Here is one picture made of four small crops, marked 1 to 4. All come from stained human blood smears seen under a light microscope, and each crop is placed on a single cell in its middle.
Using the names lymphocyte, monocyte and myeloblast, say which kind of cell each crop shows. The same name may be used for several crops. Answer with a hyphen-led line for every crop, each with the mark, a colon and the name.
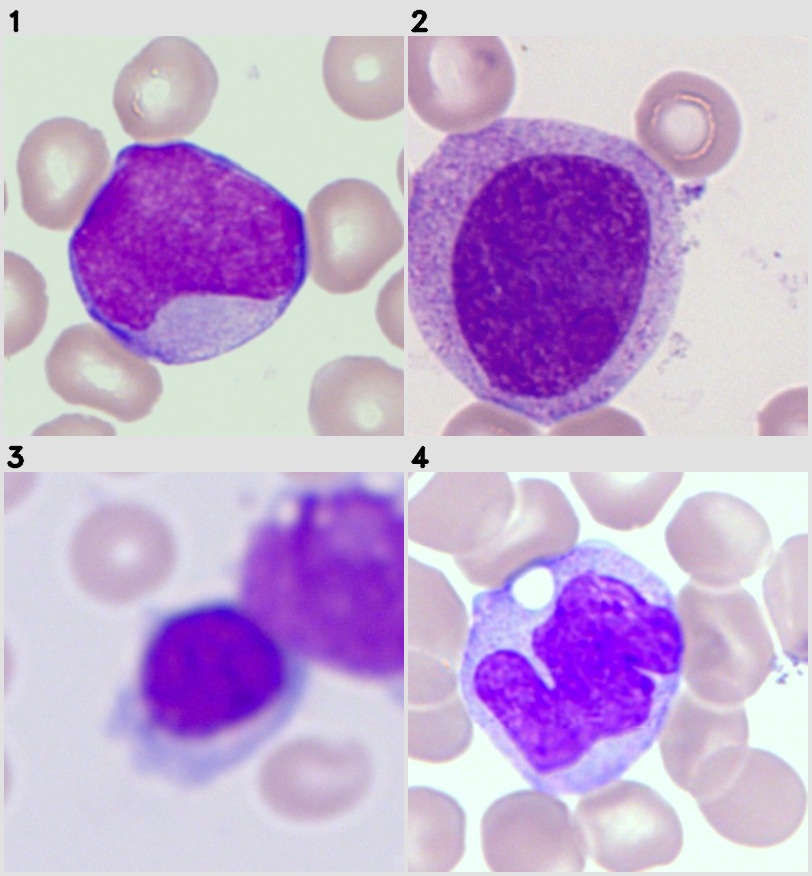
- 1: myeloblast
- 2: myeloblast
- 3: lymphocyte
- 4: monocyte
